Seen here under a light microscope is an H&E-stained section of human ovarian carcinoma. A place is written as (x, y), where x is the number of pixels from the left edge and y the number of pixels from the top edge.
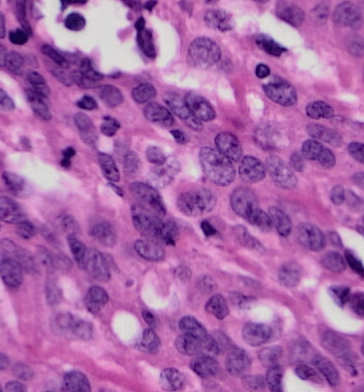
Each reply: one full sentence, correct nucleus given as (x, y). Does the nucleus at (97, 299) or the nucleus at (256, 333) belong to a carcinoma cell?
The nucleus contained in a carcinoma cell is the one at (97, 299).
